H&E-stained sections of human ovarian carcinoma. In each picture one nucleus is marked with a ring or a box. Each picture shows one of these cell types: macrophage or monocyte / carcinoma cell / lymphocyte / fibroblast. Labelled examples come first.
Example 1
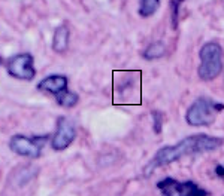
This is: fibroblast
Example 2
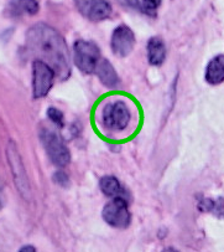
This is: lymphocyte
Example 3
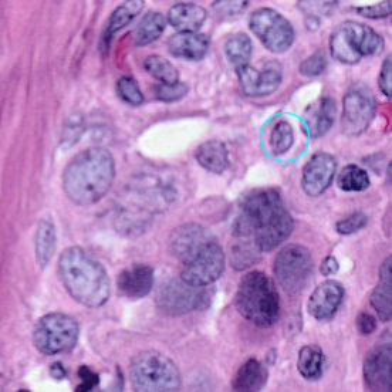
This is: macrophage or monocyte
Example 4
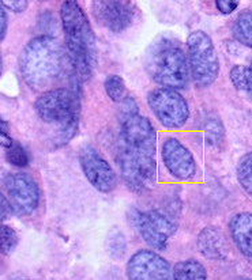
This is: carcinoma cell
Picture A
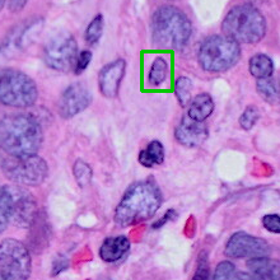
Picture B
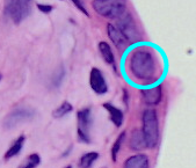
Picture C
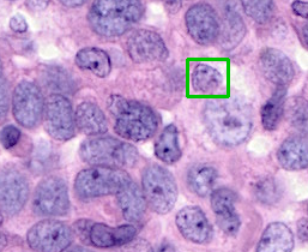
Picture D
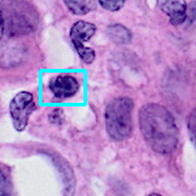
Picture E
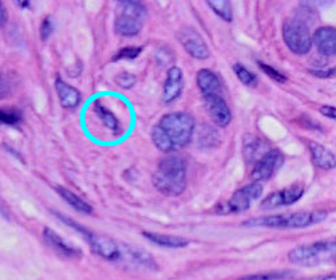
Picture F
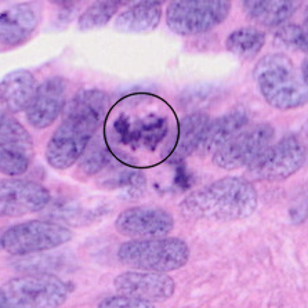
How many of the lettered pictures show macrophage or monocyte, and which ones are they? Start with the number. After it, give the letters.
Count: 2 (A, C)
